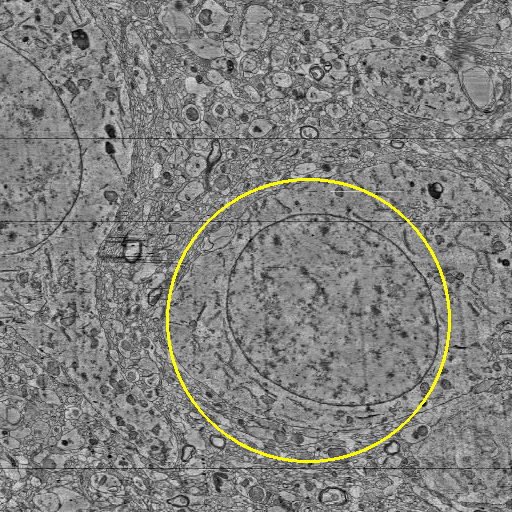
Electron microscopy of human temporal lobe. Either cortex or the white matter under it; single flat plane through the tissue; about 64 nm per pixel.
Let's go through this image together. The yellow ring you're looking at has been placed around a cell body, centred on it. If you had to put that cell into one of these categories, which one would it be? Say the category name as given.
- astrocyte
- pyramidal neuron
pyramidal neuron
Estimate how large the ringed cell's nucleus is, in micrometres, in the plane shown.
The nucleus works out at approximately 16 by 12 micrometres in this plane.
